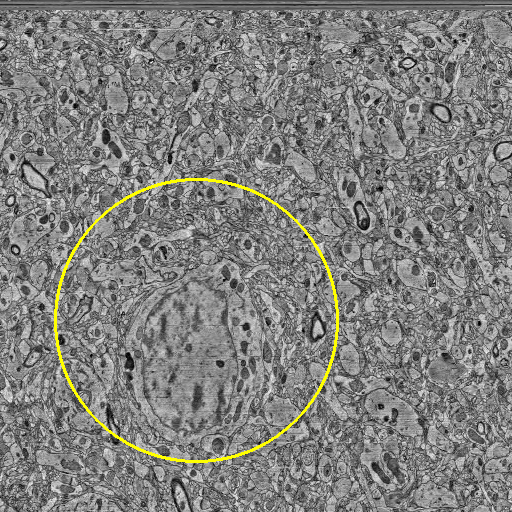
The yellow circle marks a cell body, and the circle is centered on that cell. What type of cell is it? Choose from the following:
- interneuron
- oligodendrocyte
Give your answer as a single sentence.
This cell body belongs to an interneuron.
